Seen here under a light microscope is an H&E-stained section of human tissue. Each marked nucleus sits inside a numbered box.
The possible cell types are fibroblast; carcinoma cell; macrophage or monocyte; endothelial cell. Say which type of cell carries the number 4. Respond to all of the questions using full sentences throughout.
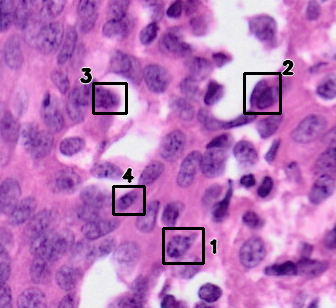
Cell 4 is classified as a carcinoma cell.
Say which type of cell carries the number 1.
The nucleus with number 1 is that of a macrophage or monocyte.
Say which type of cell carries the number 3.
Numbered cell 3 is a carcinoma cell in this tissue section.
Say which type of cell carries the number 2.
The numbered cell 2 is identified here as a carcinoma cell.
